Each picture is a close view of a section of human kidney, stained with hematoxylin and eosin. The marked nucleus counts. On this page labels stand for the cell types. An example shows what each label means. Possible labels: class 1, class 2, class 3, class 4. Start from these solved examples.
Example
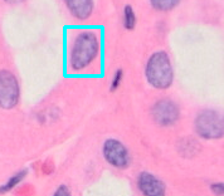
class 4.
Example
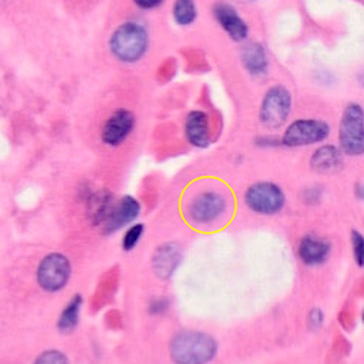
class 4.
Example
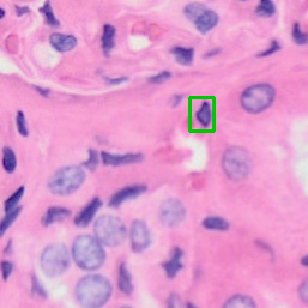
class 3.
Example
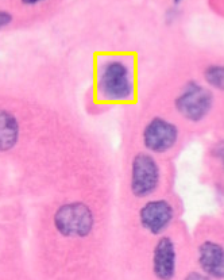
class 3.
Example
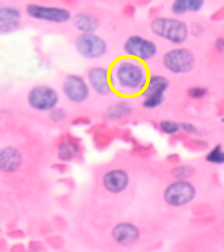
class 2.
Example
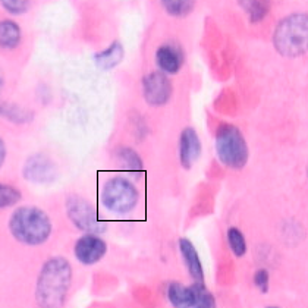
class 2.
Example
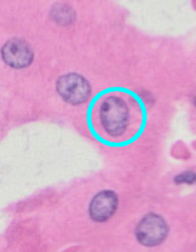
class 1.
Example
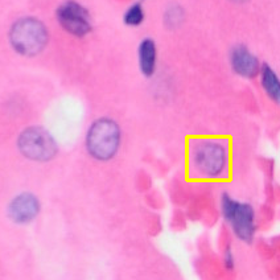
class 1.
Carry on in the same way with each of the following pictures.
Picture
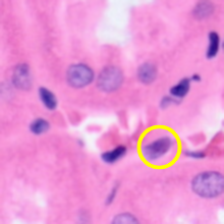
class 3.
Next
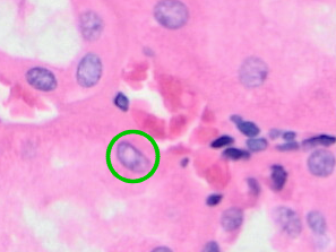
class 1.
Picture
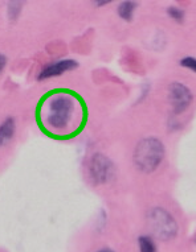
class 4.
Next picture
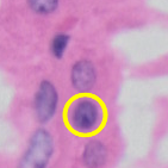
class 1.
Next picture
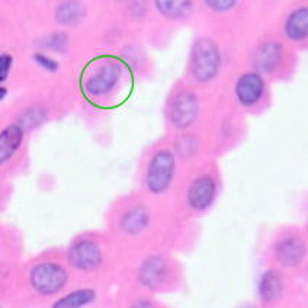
class 4.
